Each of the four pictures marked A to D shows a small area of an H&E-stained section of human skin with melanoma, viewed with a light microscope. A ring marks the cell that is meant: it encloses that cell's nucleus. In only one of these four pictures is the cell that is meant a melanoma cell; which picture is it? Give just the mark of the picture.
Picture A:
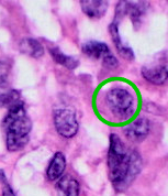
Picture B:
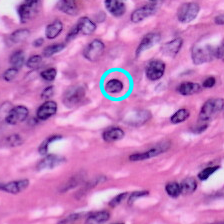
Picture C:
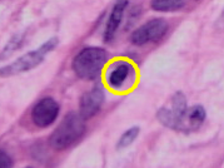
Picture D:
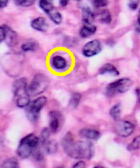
A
